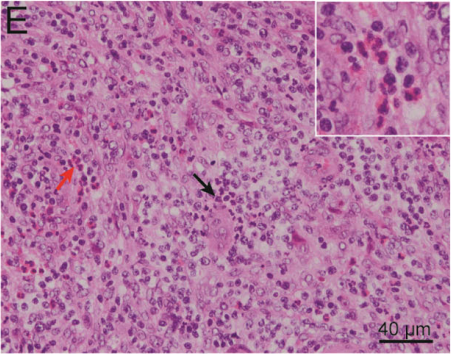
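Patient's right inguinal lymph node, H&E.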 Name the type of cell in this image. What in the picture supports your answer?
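Scattered cells with bright red granular cytoplasm. The inset shows several cells with red granules and lobed nuclei.
Conclusion: eosinophils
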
